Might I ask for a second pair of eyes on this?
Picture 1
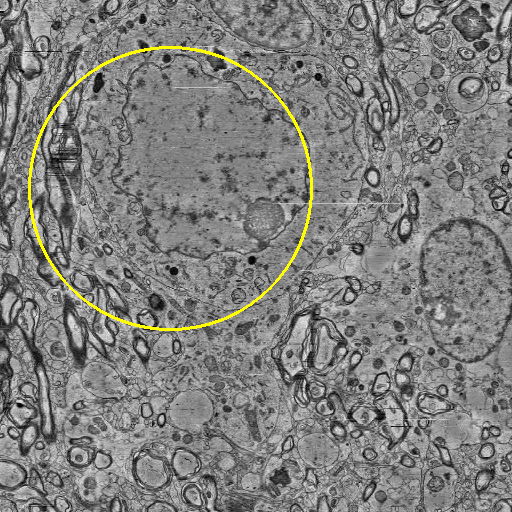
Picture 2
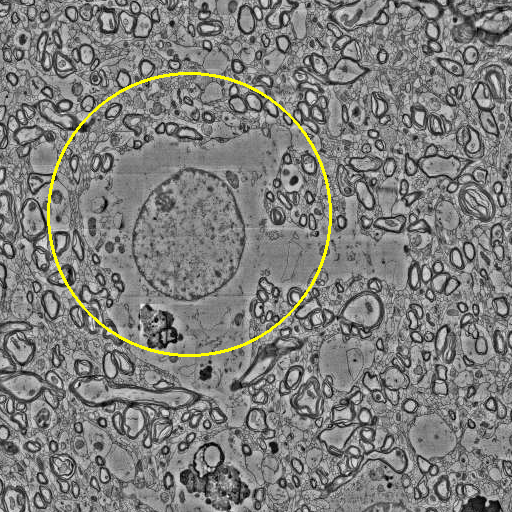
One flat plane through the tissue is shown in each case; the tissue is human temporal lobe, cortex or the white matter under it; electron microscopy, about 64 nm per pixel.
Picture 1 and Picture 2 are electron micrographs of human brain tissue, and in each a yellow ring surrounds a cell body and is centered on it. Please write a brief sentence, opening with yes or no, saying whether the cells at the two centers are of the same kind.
No, the cells are of two kinds.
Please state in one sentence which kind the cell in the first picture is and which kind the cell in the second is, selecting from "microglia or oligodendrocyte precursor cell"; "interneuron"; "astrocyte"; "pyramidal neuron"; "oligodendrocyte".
The first ringed cell is a pyramidal neuron, the second ringed cell an astrocyte.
